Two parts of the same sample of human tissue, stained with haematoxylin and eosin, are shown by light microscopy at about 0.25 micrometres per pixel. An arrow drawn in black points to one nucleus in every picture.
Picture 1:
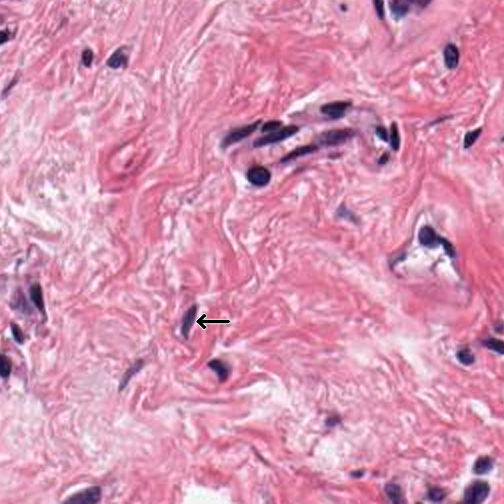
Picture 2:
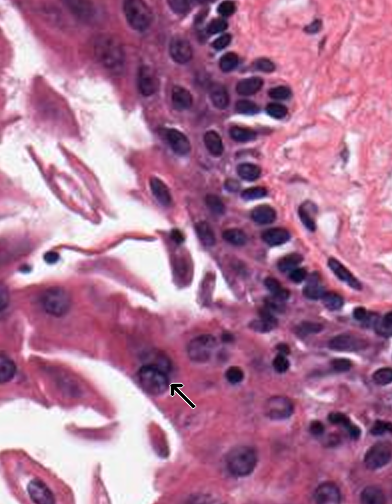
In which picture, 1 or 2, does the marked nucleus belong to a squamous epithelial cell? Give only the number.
2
